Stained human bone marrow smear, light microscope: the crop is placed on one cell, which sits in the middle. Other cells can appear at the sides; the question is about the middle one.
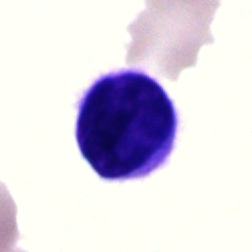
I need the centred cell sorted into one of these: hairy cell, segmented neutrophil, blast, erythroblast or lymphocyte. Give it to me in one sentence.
The central element of this crop is a cell, namely a lymphocyte.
